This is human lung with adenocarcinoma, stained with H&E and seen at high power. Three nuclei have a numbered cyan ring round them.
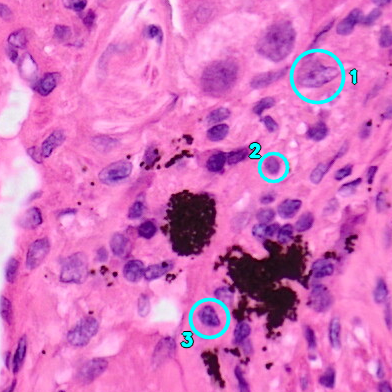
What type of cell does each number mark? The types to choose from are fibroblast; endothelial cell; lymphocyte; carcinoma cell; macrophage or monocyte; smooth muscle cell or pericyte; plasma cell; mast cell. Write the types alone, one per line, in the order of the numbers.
fibroblast
lymphocyte
mast cell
